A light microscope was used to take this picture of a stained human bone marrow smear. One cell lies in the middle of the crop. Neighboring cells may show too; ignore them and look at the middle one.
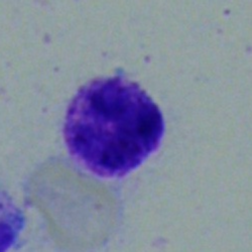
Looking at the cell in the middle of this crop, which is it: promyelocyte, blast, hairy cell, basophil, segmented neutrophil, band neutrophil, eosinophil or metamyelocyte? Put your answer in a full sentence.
Framed in the middle of the crop is a basophil.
